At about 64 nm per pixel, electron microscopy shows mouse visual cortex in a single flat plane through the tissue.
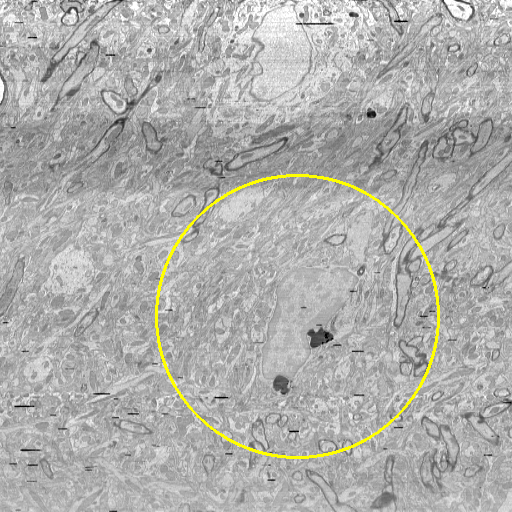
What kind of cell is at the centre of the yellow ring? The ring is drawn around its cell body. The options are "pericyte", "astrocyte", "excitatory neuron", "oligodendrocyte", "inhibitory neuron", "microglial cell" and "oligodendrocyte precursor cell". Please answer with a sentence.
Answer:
The yellow ring marks the cell body of a microglial cell.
